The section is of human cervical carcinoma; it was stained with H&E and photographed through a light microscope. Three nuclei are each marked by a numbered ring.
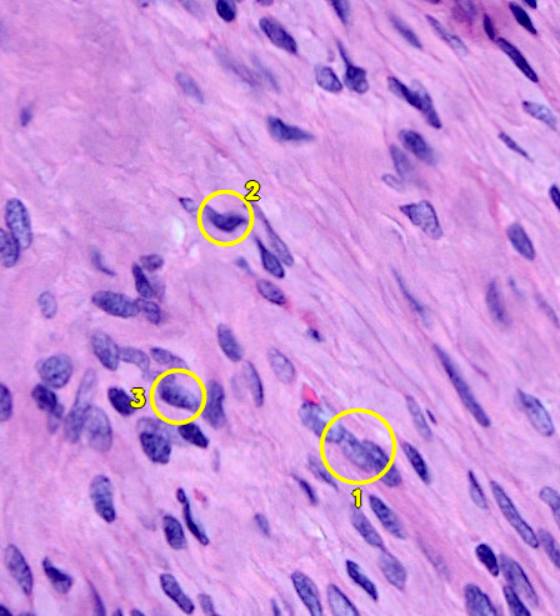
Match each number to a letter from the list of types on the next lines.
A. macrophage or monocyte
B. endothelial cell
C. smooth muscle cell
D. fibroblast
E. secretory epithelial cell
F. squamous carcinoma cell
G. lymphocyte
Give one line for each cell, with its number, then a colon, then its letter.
1: B
2: D
3: D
